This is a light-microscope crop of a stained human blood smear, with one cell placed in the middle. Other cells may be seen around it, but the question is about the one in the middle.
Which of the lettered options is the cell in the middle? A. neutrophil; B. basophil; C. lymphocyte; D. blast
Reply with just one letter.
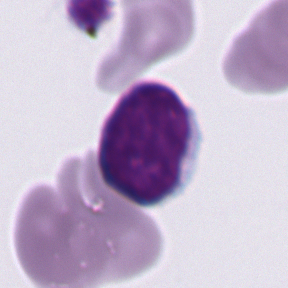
C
